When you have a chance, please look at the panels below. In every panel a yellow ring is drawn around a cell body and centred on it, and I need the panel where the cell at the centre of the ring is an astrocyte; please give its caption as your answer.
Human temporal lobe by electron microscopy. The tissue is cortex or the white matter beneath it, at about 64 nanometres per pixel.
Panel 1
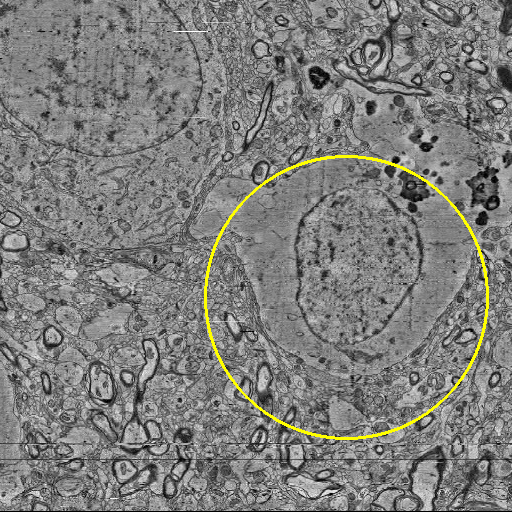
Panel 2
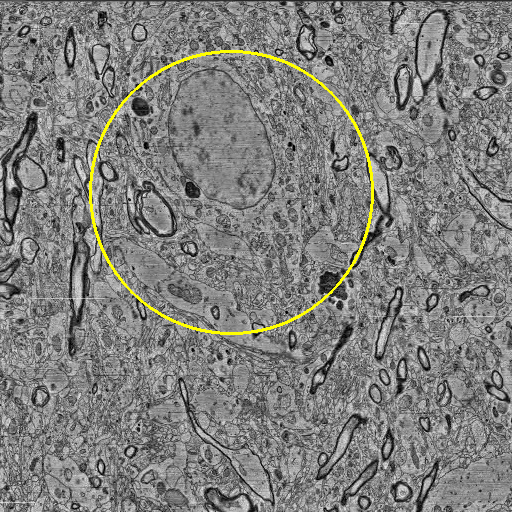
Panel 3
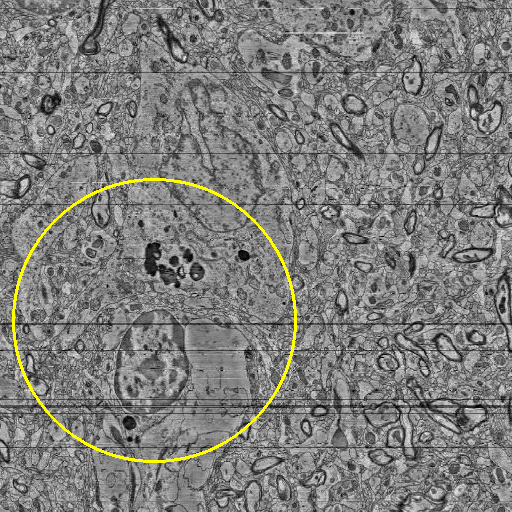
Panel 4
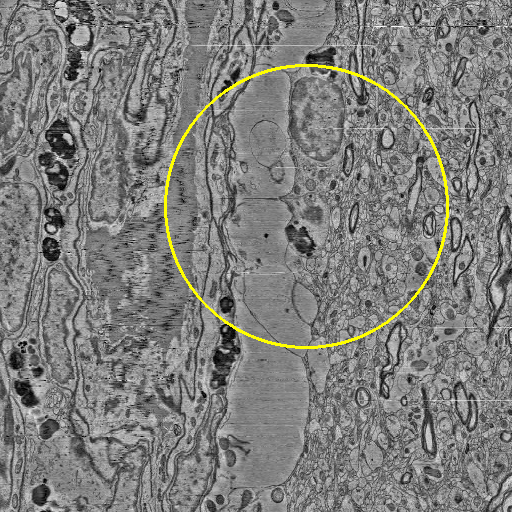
Panel 1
